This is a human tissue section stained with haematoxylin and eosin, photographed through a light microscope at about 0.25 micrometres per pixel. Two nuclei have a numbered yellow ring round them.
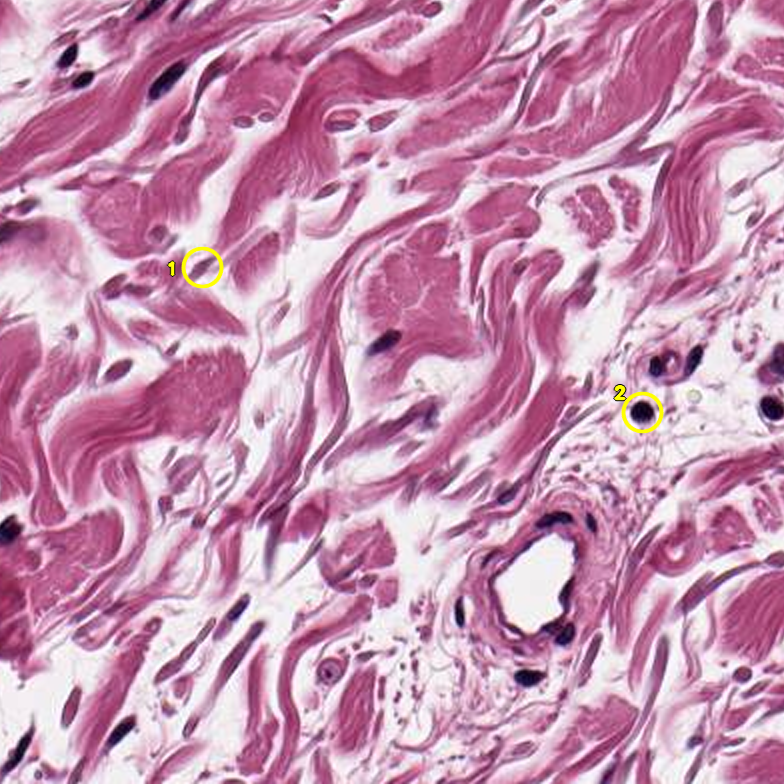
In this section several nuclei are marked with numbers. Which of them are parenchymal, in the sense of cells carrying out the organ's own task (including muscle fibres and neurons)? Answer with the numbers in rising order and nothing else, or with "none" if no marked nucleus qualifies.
none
